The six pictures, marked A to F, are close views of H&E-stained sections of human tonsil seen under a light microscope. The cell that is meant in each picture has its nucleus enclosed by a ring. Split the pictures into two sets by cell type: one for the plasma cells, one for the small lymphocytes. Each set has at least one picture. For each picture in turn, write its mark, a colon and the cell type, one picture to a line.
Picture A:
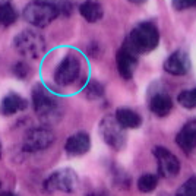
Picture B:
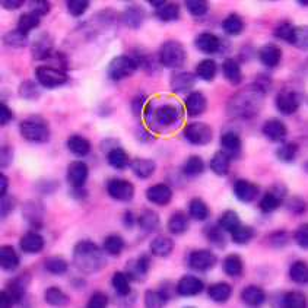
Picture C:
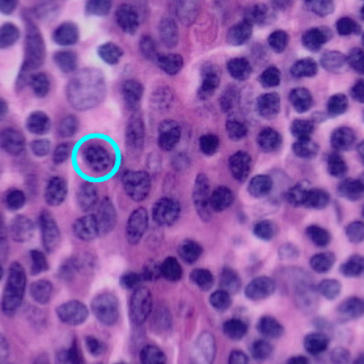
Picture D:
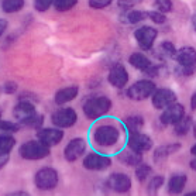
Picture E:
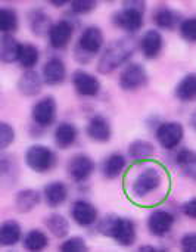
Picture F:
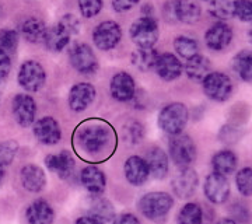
A: plasma cell
B: small lymphocyte
C: plasma cell
D: plasma cell
E: small lymphocyte
F: plasma cell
